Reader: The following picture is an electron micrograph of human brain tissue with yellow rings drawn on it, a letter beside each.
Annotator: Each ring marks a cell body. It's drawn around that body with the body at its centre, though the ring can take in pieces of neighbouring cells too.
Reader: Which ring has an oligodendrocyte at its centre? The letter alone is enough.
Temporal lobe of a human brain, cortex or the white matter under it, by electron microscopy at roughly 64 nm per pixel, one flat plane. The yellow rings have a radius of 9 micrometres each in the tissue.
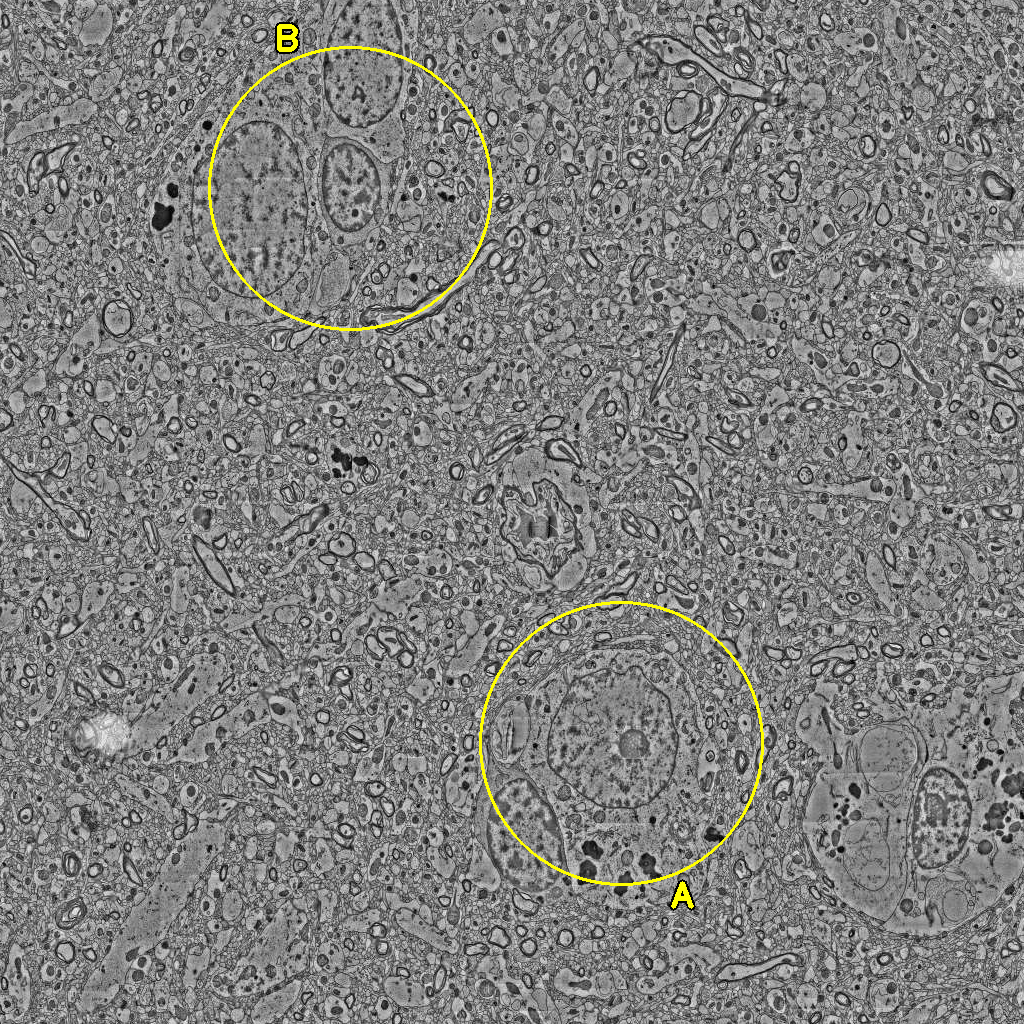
B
